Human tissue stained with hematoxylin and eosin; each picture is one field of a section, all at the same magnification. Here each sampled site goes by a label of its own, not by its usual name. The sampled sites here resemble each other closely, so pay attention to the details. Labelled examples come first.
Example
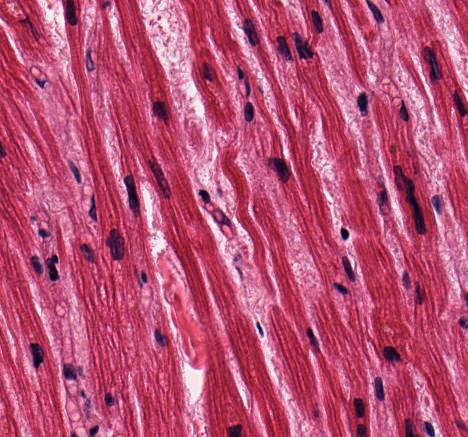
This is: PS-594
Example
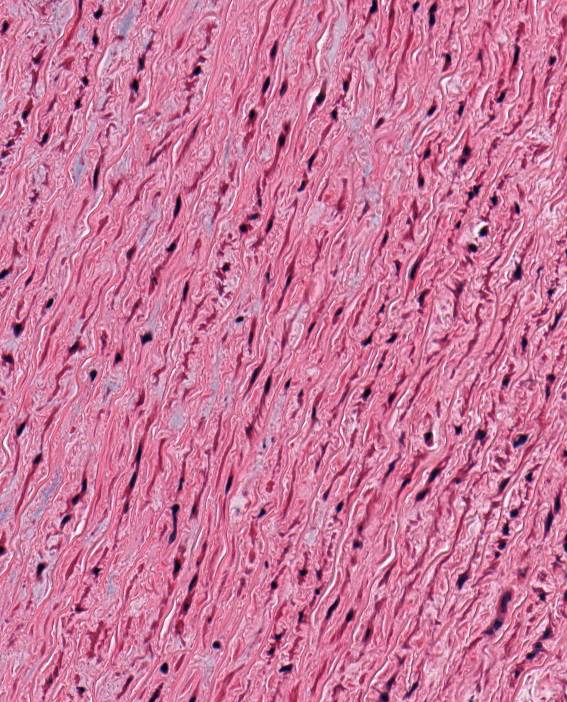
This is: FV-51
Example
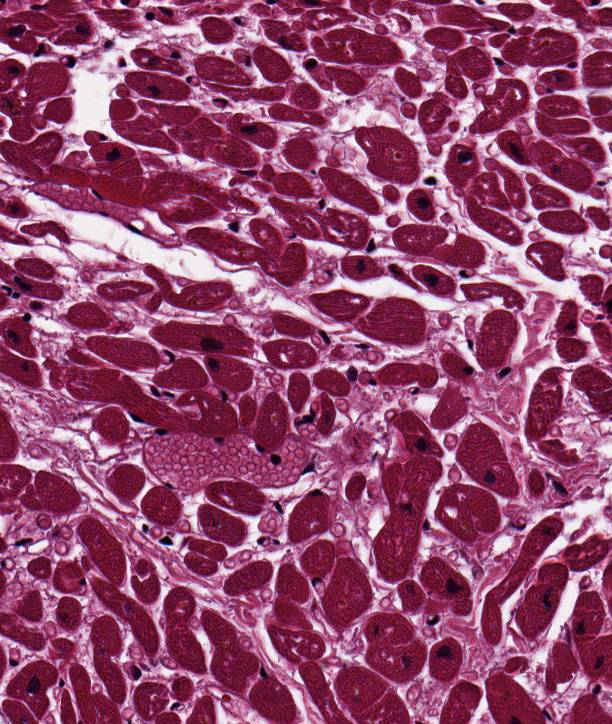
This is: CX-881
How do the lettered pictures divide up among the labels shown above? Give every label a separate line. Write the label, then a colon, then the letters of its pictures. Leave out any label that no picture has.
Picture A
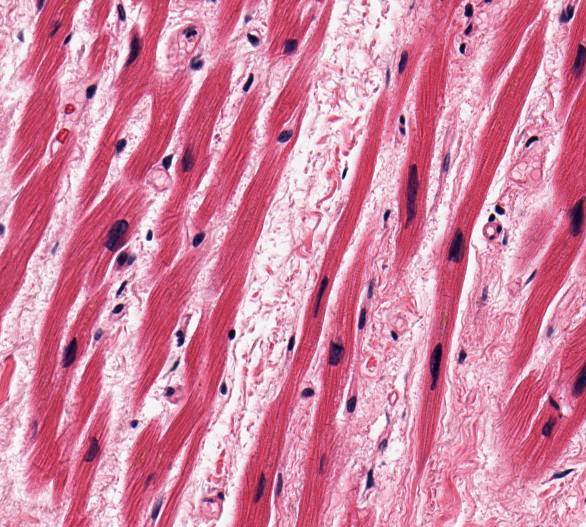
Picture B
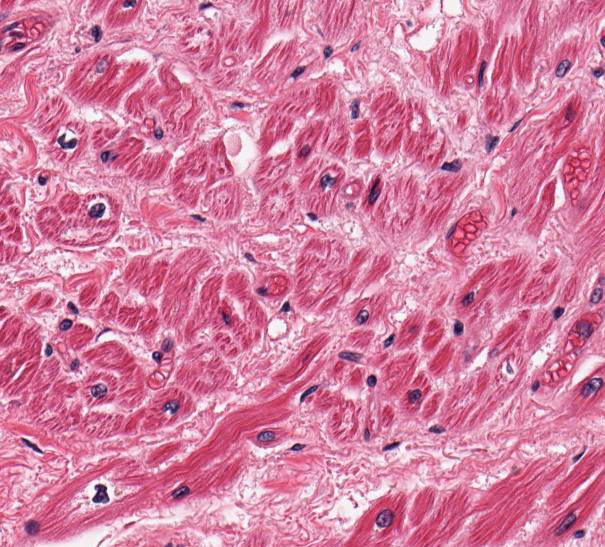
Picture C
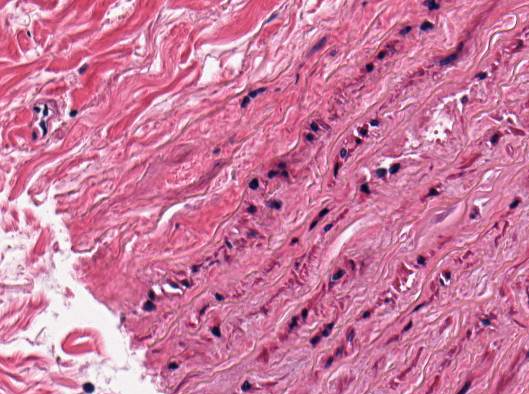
PS-594: A, B
FV-51: C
